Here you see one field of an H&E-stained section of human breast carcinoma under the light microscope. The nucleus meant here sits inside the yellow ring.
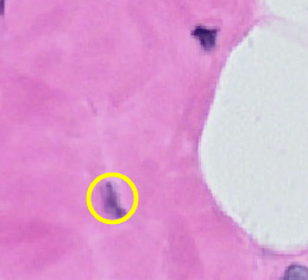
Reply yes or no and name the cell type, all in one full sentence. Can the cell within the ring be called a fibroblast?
Yes, identifying the cell within the ring as a fibroblast is right.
